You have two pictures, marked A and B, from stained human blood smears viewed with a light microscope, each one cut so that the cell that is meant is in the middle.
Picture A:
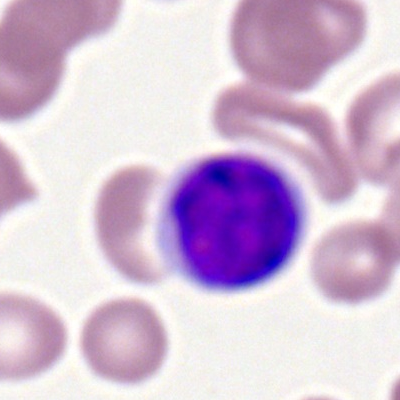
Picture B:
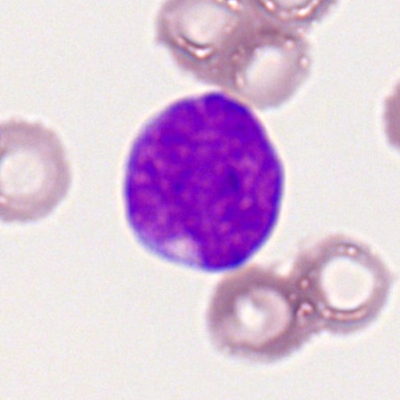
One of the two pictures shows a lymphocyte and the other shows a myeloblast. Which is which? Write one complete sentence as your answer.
The cell in picture A is a lymphocyte, and the one in picture B is a myeloblast.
